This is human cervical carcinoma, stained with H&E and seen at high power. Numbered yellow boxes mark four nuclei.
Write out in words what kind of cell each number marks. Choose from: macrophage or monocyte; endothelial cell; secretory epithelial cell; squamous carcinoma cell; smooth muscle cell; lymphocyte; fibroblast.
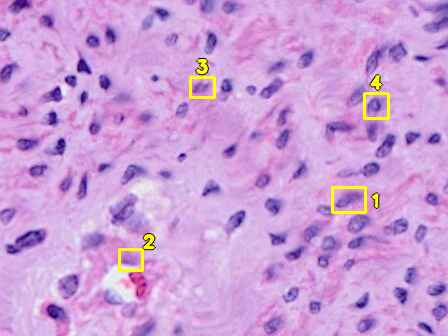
Cells 1, 3 and 4 are smooth muscle cells. Cell 2 is an endothelial cell.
